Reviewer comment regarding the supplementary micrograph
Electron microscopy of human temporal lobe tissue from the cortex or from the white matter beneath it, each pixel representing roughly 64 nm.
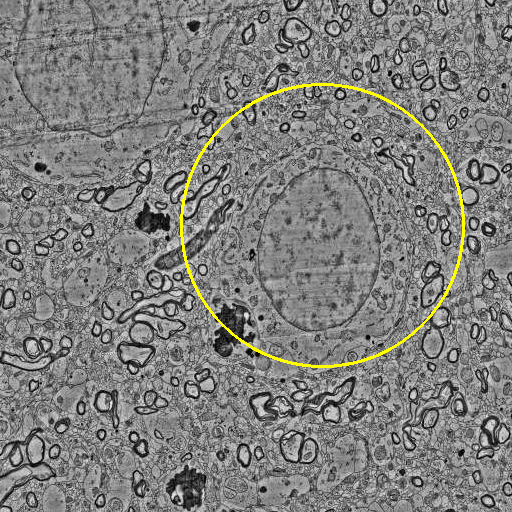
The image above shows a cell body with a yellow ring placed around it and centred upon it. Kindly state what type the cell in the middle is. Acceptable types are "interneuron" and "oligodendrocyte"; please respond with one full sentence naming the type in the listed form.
In the image above, the cell on which the yellow ring is centred is an interneuron.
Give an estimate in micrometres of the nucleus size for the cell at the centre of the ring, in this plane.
In this plane the nucleus spans approximately 11 by 8 micrometers.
